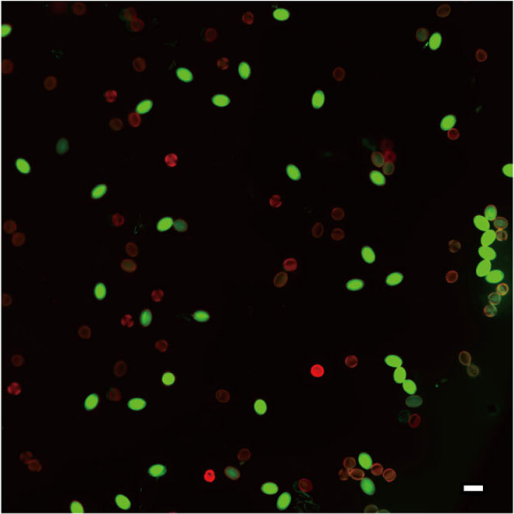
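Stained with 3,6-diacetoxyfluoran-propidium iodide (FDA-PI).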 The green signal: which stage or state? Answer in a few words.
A: Active pollen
